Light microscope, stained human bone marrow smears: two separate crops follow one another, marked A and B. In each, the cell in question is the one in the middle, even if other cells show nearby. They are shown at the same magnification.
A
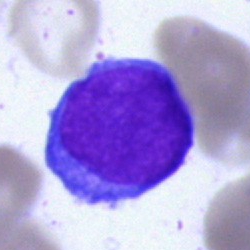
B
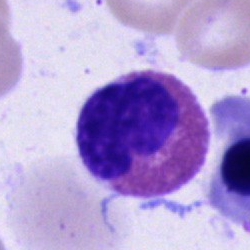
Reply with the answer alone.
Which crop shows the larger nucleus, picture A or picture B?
A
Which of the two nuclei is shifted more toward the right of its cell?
A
